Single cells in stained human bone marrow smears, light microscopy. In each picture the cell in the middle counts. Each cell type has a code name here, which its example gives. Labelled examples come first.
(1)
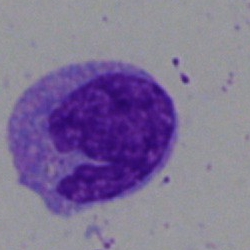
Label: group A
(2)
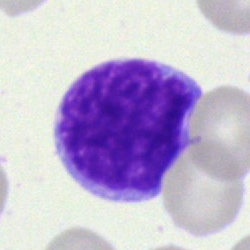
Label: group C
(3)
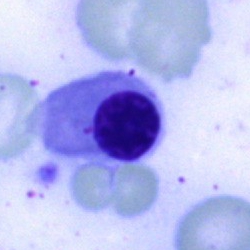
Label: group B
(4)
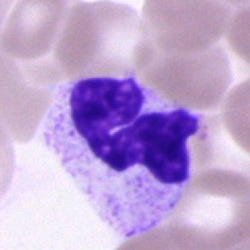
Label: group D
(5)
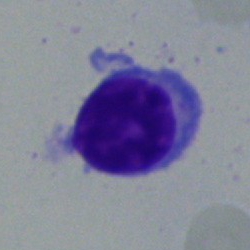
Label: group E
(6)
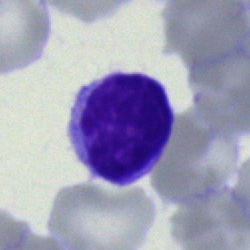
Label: group E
